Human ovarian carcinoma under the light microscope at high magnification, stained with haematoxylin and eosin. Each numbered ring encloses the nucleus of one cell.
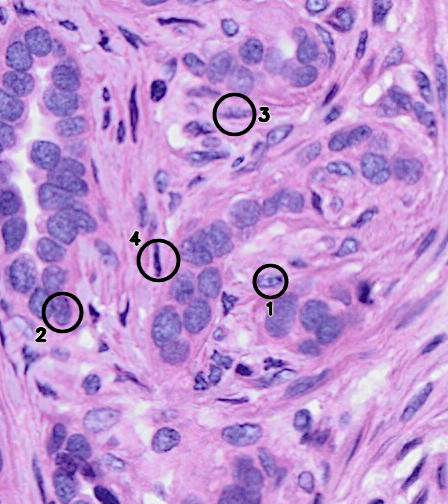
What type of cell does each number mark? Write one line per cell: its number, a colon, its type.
1: fibroblast
2: carcinoma cell
3: fibroblast
4: fibroblast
